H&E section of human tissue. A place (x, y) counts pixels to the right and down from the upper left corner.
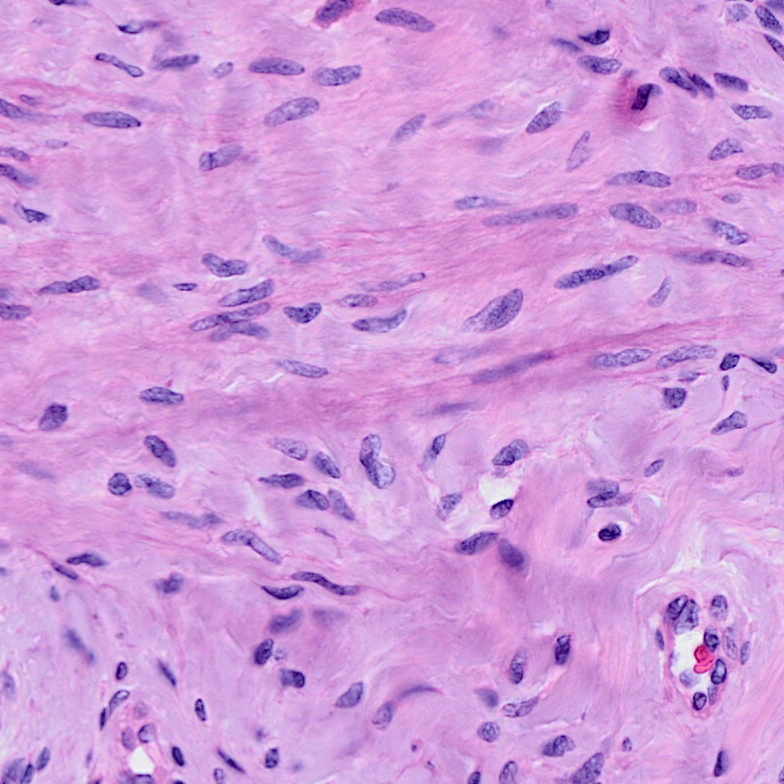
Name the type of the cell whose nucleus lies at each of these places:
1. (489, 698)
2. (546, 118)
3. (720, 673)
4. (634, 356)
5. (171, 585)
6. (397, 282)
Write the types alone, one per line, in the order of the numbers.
fibroblast
fibroblast
endothelial cell
smooth muscle cell
fibroblast
smooth muscle cell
